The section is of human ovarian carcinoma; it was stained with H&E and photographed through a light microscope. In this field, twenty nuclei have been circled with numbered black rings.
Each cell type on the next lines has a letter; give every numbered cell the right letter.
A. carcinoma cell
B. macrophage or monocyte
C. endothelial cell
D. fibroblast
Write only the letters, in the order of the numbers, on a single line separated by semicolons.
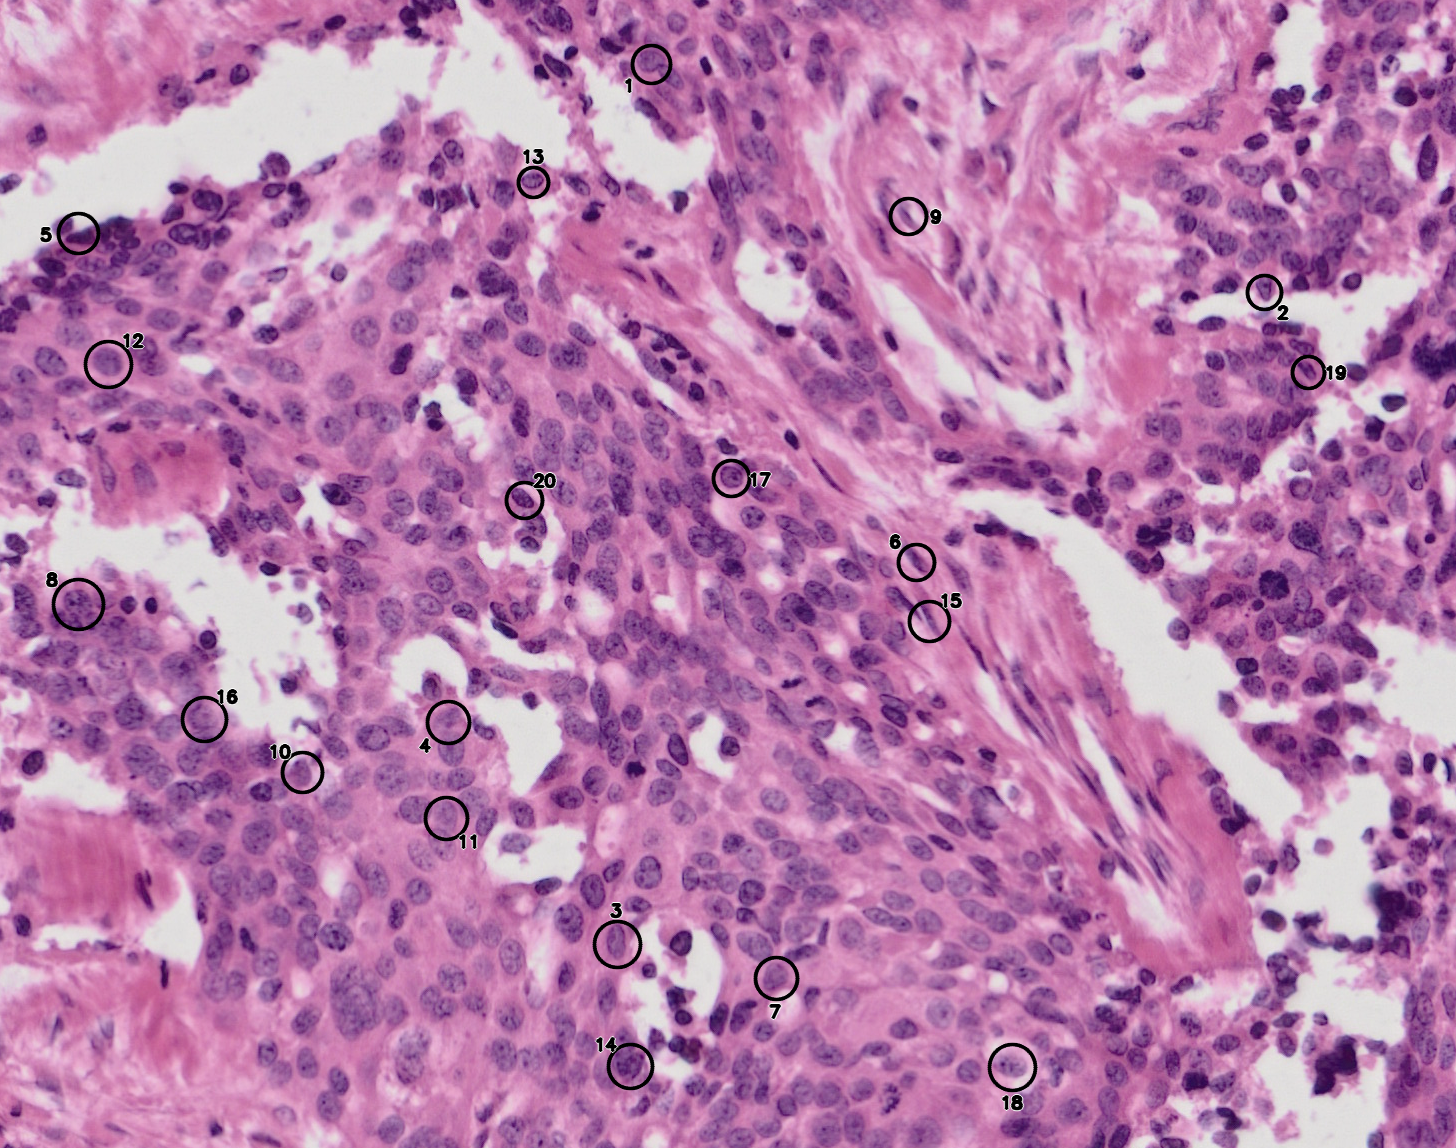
A; B; A; A; A; D; A; A; D; A; A; A; B; A; D; A; B; B; B; B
